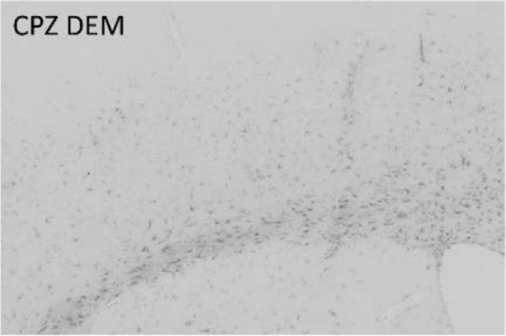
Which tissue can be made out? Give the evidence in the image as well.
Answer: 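A curved band of tissue arches across the field. A ventricle-like empty space lies at the lower right beneath the band. So: corpus callosum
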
